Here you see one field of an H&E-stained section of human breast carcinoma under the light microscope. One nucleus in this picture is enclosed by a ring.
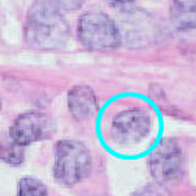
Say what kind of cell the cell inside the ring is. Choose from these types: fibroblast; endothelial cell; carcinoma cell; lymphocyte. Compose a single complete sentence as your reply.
As for its identity, the cell inside the ring is a carcinoma cell.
